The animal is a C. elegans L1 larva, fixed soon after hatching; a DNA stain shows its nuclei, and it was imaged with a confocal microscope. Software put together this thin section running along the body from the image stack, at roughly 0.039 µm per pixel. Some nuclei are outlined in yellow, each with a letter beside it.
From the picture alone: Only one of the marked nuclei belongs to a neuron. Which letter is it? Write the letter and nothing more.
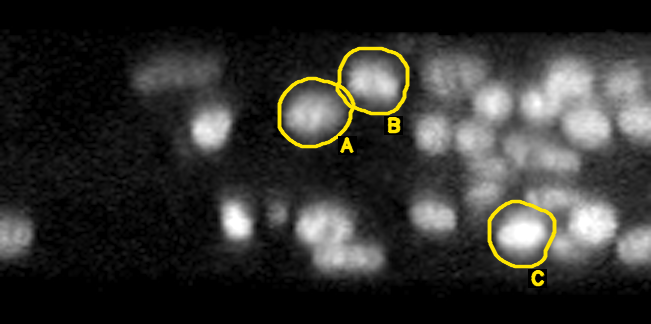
C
